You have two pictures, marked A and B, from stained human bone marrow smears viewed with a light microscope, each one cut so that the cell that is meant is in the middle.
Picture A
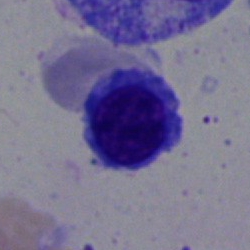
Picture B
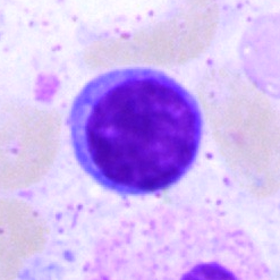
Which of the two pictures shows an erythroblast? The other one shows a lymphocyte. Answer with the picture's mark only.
A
